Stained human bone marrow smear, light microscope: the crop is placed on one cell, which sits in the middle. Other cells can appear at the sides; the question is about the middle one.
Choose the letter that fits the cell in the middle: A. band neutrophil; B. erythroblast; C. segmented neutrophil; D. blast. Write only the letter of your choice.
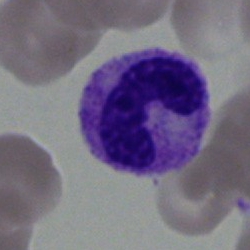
A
